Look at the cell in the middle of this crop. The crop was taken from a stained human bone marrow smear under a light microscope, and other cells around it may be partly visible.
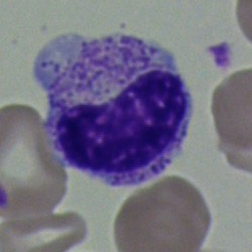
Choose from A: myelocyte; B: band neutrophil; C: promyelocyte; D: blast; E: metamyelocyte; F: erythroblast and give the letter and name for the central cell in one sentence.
Option E is correct in naming the middle cell a metamyelocyte.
